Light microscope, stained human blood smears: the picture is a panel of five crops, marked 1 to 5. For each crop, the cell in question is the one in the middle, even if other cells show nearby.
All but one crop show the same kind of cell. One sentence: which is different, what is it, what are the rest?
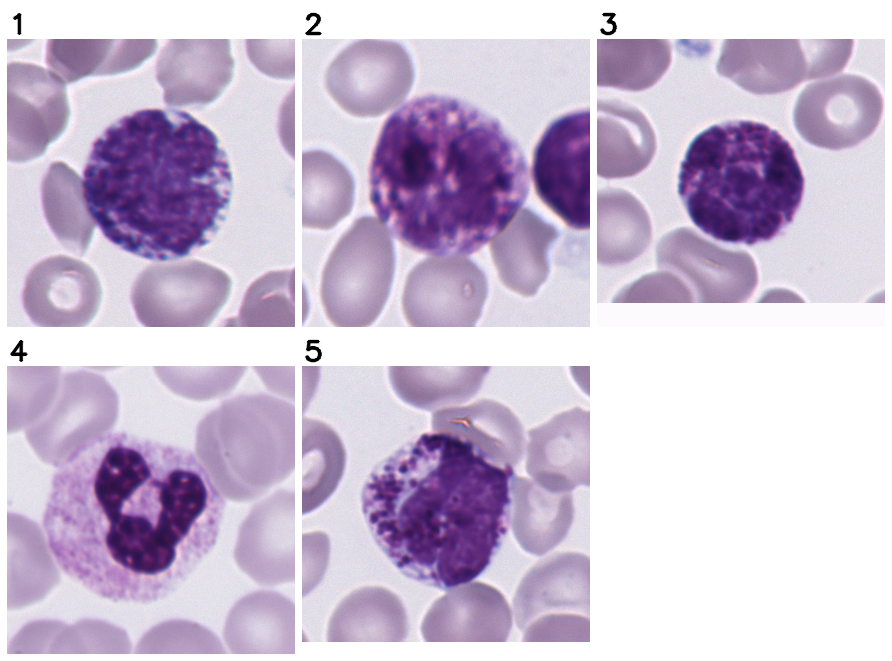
The central cell of crop 4 is a segmented neutrophil, while the other crops show basophils.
